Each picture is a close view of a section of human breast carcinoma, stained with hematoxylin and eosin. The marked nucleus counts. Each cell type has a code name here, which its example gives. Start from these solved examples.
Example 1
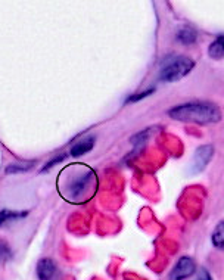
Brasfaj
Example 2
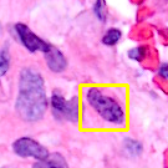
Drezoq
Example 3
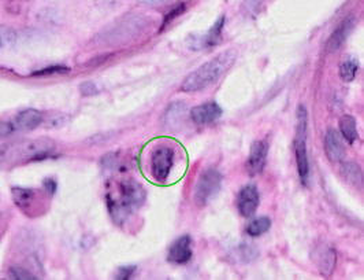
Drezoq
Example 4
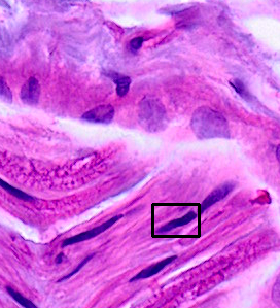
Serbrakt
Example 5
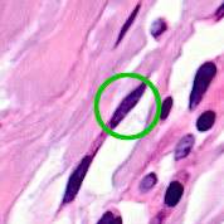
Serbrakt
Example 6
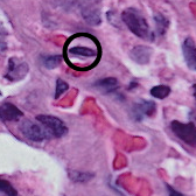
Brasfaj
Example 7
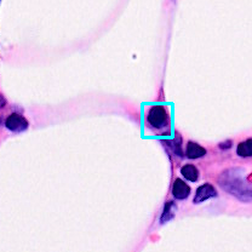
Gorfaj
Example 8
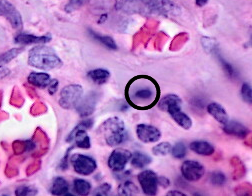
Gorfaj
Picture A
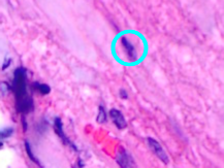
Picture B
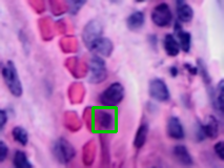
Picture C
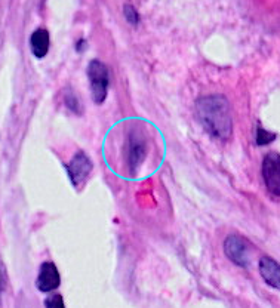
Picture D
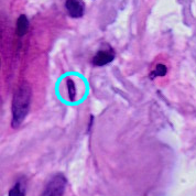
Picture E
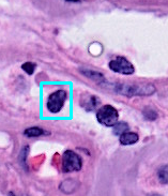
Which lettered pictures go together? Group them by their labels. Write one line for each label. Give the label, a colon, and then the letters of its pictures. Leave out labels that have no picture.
Brasfaj: B, C
Serbrakt: A, D
Gorfaj: E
